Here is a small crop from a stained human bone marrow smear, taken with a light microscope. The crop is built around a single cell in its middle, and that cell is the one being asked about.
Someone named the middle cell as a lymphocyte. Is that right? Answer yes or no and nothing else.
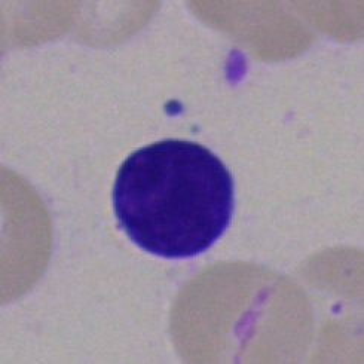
yes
